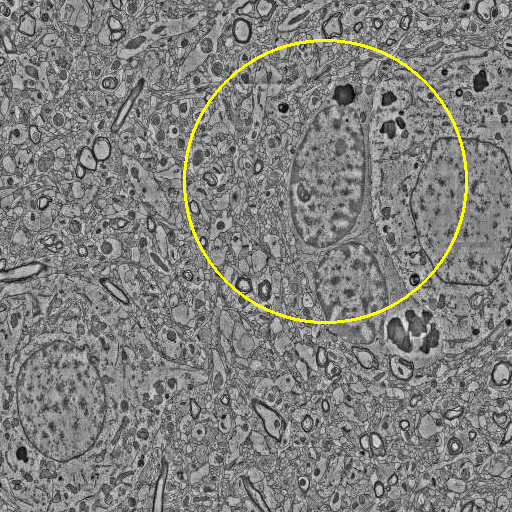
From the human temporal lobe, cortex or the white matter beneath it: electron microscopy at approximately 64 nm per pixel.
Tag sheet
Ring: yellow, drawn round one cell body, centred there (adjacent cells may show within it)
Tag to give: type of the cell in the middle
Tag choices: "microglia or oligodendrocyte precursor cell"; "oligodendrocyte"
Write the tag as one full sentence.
I tag the cell centred in the yellow ring as an oligodendrocyte in this picture.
